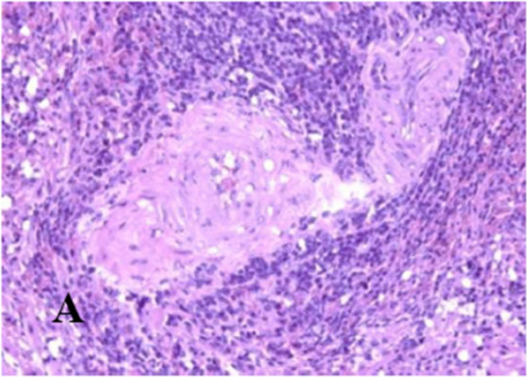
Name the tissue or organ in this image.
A: spleen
